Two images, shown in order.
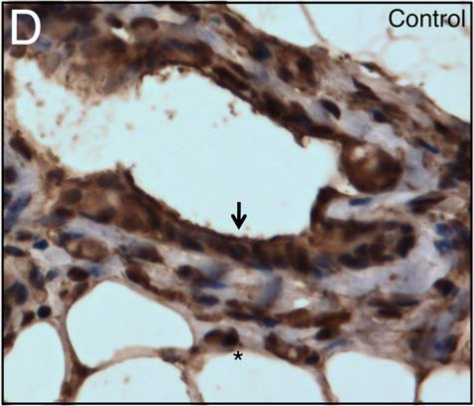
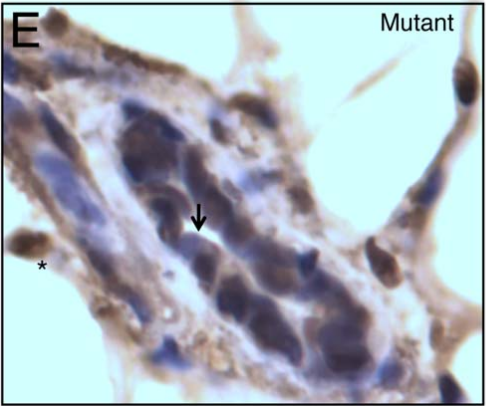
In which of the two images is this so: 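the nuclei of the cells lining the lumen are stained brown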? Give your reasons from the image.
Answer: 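Second image: the cells lining the lumen have blue-grey nuclei without brown stain. First image: the cells lining the lumen have dark brown nuclei.
Answer: the first image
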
